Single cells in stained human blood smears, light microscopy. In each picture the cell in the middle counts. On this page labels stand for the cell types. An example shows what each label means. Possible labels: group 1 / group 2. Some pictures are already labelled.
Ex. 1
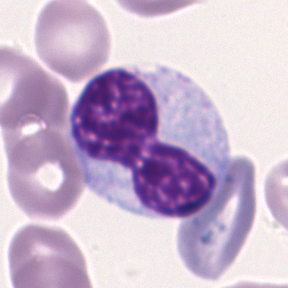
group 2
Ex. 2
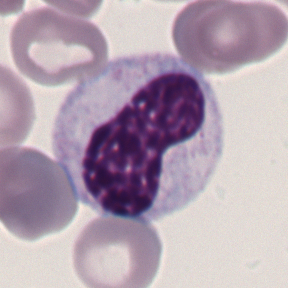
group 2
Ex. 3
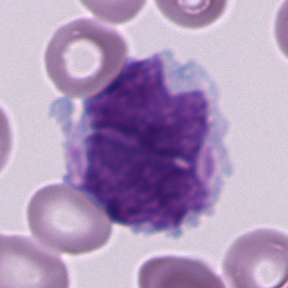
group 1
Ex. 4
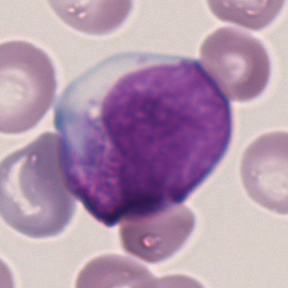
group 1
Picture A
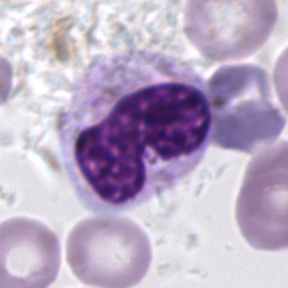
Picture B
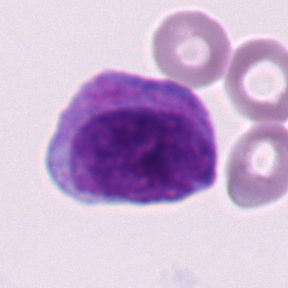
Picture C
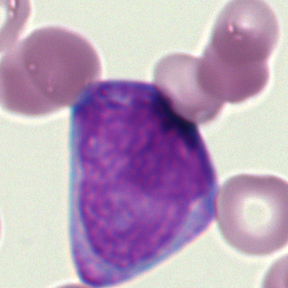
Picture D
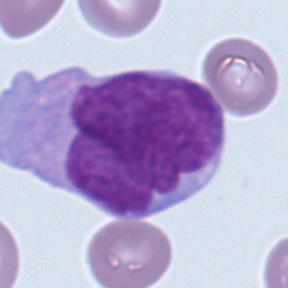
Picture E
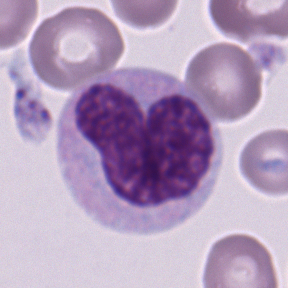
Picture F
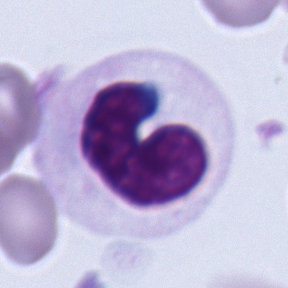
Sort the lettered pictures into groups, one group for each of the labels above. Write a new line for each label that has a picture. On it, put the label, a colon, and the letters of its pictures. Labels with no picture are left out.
group 1: B, C, D
group 2: A, E, F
